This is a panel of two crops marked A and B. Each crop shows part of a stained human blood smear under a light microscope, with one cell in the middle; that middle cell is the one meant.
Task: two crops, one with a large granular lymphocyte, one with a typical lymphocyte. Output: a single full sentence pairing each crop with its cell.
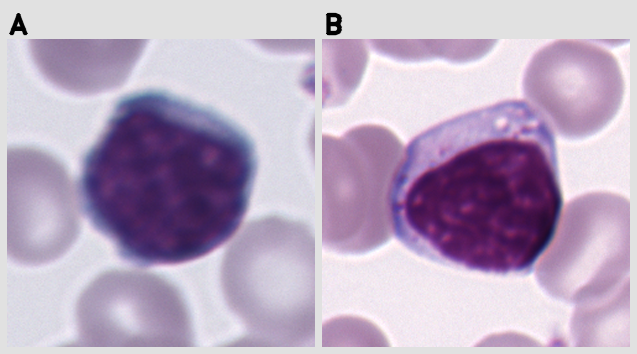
Crop A contains a typical lymphocyte, and crop B contains a large granular lymphocyte.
